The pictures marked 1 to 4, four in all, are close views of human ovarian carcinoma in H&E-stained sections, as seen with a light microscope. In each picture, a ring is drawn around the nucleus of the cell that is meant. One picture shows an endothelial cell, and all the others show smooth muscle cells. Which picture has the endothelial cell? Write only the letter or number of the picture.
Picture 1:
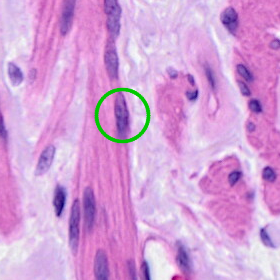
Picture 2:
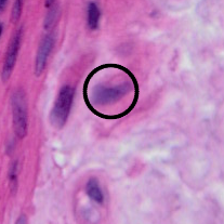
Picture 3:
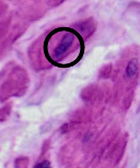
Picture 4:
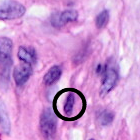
4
